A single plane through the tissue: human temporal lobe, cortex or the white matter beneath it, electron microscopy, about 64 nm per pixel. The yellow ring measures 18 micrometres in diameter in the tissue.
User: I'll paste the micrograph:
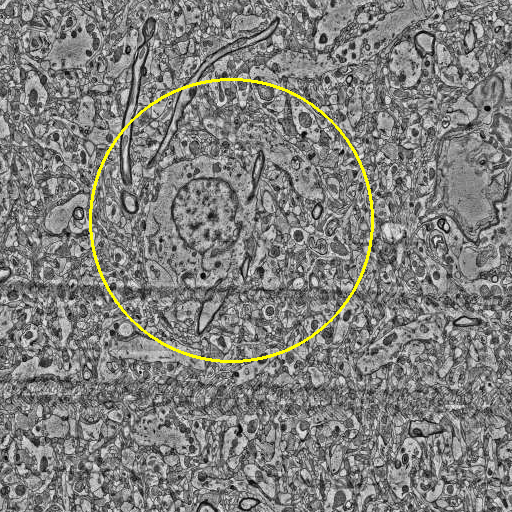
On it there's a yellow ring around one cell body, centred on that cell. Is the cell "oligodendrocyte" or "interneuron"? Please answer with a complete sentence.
The cell ringed in yellow is an interneuron.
